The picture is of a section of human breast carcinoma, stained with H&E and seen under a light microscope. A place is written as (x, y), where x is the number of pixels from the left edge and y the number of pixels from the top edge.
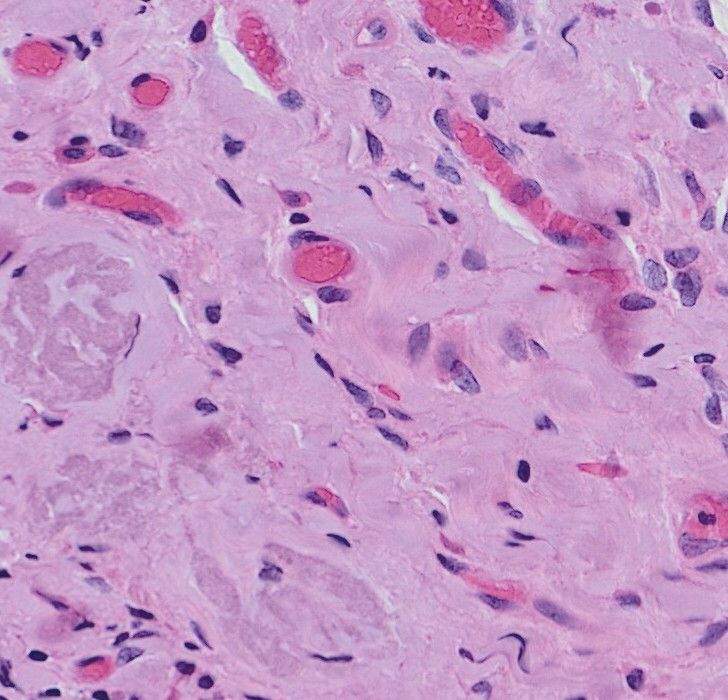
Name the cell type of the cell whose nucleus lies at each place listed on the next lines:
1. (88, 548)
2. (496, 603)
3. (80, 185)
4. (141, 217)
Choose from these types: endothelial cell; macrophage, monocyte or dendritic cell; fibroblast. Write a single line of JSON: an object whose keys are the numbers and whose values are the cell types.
{"1": "fibroblast", "2": "endothelial cell", "3": "endothelial cell", "4": "endothelial cell"}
